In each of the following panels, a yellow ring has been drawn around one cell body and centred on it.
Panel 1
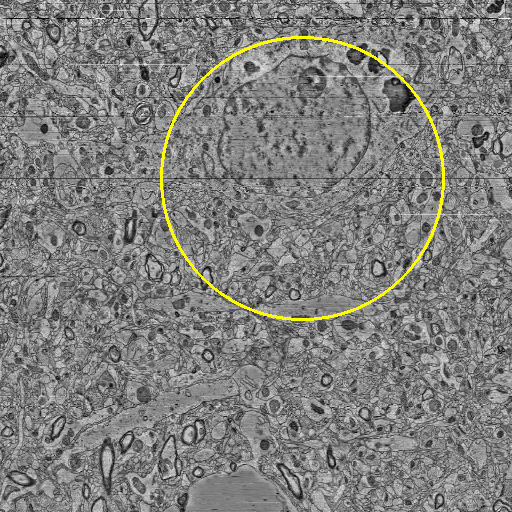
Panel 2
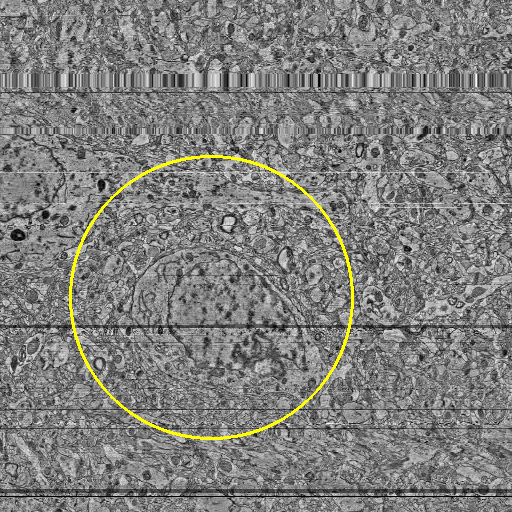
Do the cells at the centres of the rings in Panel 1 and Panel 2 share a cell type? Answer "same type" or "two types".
same type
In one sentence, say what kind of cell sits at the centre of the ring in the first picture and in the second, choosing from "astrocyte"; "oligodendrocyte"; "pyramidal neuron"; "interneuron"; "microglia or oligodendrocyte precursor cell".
Both rings mark an interneuron, one in each picture.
